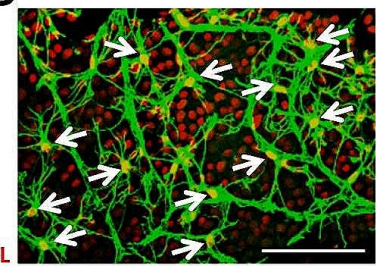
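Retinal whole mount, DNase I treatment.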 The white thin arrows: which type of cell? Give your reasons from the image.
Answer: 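The arrows point to cell bodies that sit at the junctions of a green branching network. The green cells are star-shaped with long, thick processes that link into a meshwork. The nuclei at the arrowed cell bodies appear yellow where red overlaps green.
Hence: astroglia.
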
